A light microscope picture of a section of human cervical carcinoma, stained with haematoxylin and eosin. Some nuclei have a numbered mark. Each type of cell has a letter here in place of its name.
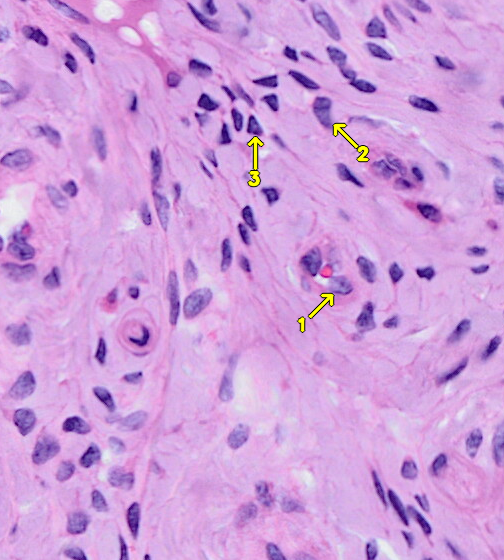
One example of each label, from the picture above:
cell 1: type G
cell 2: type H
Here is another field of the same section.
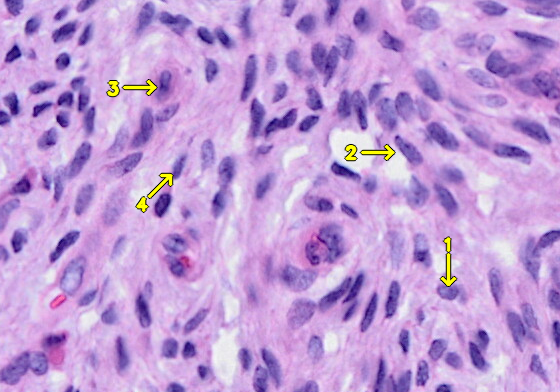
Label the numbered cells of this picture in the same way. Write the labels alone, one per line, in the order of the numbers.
type H
type H
type G
type H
